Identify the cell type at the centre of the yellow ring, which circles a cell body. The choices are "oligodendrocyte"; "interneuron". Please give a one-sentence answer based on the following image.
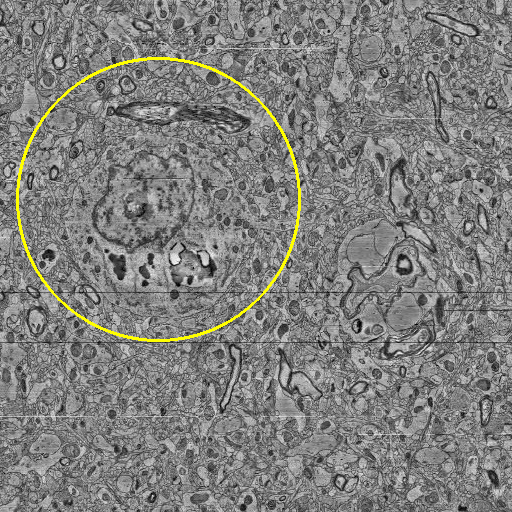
The cell marked by the ring is an interneuron.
